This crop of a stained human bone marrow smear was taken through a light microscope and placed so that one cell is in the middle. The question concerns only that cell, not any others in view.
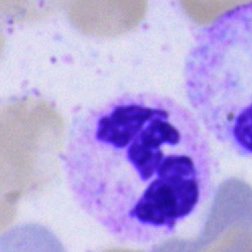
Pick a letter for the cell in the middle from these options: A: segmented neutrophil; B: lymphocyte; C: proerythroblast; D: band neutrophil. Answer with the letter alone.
A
